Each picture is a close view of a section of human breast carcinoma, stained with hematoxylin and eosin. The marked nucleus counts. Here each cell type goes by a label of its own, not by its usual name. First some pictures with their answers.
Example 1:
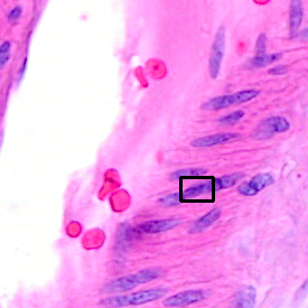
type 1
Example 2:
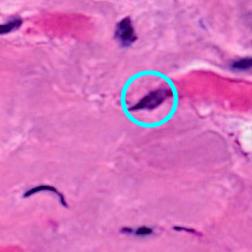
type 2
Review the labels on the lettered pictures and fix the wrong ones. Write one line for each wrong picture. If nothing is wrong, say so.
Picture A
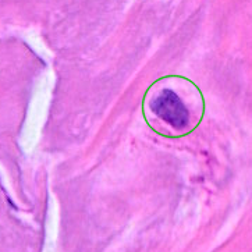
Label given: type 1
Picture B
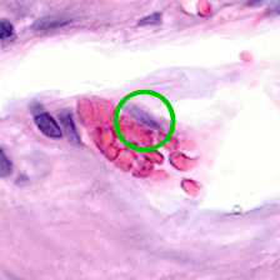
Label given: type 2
Wrong: A (type 1); correct: type 2
Wrong: B (type 2); correct: type 1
